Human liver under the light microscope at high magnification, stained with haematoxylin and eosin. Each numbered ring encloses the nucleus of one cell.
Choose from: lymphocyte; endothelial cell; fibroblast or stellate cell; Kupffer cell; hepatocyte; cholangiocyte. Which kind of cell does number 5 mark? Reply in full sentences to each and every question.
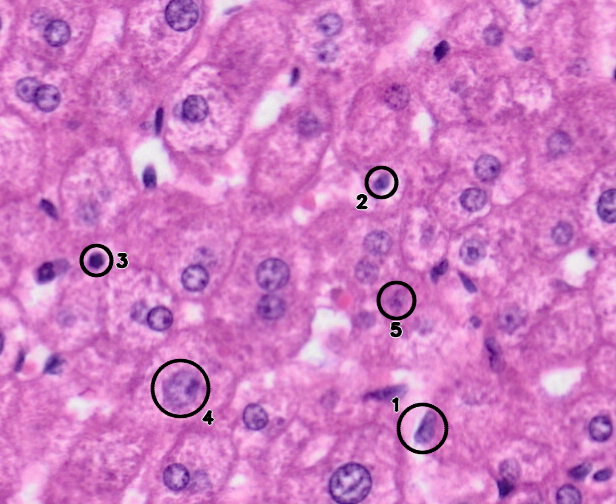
The cell numbered 5 represents a hepatocyte.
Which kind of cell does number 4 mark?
Nucleus 4 in this section belongs to a hepatocyte.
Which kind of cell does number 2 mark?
Denoted by the label 2 in the section is a lymphocyte.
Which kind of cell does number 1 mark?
That cell with number 1 is an endothelial cell.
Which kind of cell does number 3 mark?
The nucleus labeled 3 belongs to a lymphocyte.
